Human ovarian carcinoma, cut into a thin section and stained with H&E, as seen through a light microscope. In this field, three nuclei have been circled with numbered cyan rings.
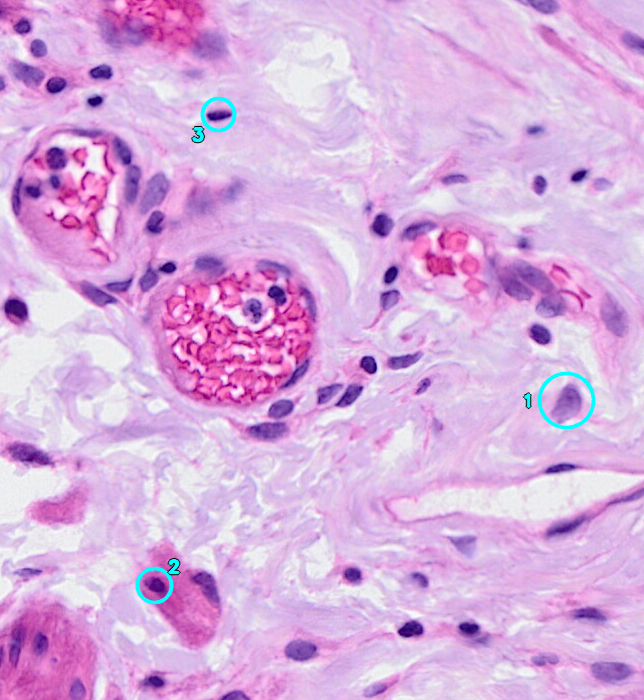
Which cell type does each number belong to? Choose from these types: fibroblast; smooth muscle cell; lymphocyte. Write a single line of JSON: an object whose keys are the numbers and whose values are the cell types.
{"1": "fibroblast", "2": "smooth muscle cell", "3": "lymphocyte"}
